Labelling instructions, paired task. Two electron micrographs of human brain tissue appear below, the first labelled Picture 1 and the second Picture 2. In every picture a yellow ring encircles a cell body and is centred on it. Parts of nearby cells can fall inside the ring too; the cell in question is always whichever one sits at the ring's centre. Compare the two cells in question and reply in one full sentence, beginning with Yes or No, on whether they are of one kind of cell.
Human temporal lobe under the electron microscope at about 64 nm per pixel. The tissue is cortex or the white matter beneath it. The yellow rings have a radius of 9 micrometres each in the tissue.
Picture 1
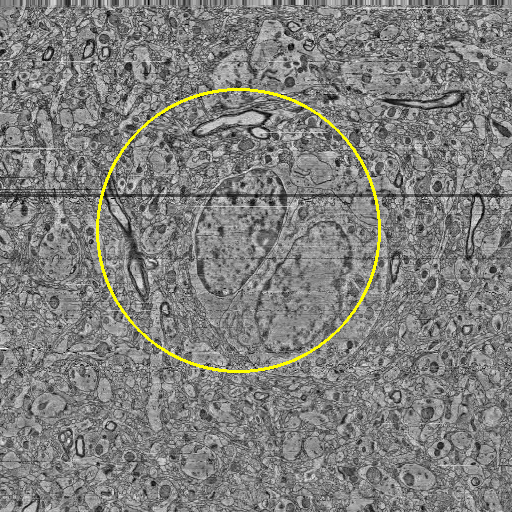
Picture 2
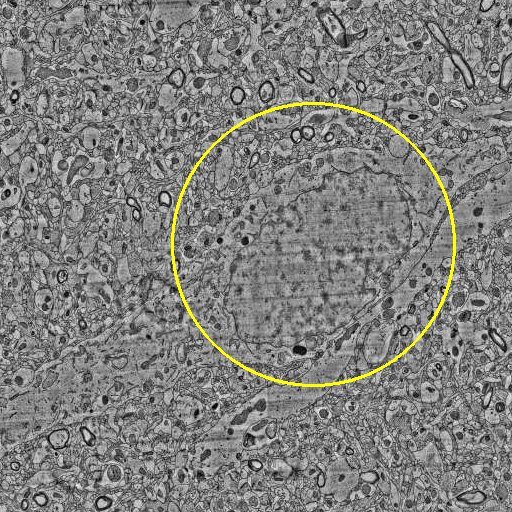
No, the two cells at the ring centres in Picture 1 and Picture 2 are of two kinds.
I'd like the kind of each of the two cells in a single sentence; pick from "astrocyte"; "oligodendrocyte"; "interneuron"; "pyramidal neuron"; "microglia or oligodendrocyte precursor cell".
The first ring marks a microglial cell or oligodendrocyte precursor cell, and the second ring marks an interneuron.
